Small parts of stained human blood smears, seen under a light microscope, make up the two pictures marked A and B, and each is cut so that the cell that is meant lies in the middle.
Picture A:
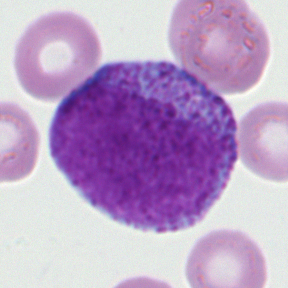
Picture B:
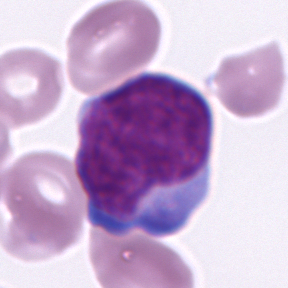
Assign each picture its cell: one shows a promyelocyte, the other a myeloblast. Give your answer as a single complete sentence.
The cell in picture A is a promyelocyte, and the one in picture B is a myeloblast.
